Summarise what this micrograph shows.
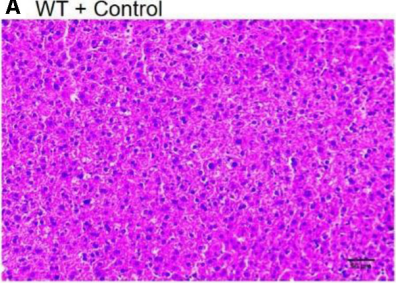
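Liver tissue made of closely packed polygonal hepatocytes with evenly pink cytoplasm and round, purple, centrally placed nuclei. The cells lie in cords separated by narrow pale sinusoidal spaces. Clear vacuoles in the cytoplasm are few or absent, and the parenchyma looks uniform across the field.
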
